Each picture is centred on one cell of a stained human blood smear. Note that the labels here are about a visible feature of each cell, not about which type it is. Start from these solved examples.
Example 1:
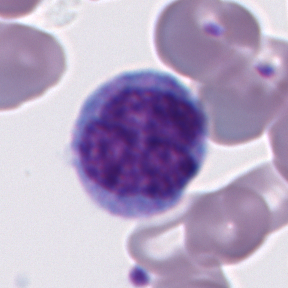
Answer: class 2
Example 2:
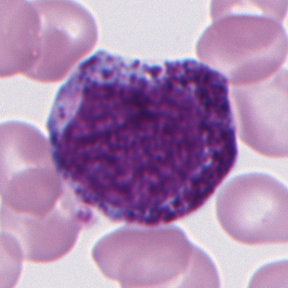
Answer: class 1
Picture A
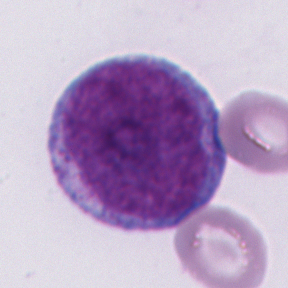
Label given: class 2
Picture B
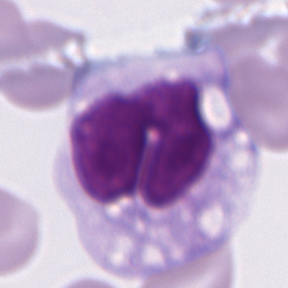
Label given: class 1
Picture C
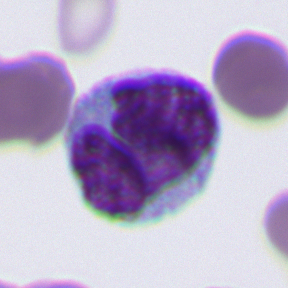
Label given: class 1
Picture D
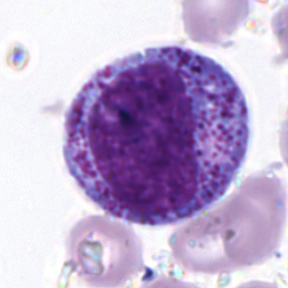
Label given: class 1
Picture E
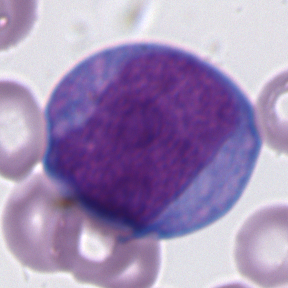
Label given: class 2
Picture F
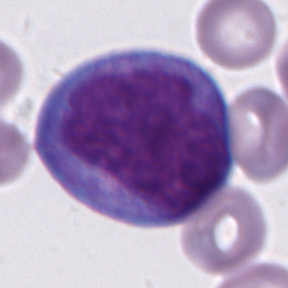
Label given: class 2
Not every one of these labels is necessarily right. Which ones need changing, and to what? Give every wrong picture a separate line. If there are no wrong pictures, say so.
B: not class 1 but class 2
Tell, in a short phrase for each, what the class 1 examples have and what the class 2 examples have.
Seen in class 1: many visible granules; seen in class 2: no visible granules.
